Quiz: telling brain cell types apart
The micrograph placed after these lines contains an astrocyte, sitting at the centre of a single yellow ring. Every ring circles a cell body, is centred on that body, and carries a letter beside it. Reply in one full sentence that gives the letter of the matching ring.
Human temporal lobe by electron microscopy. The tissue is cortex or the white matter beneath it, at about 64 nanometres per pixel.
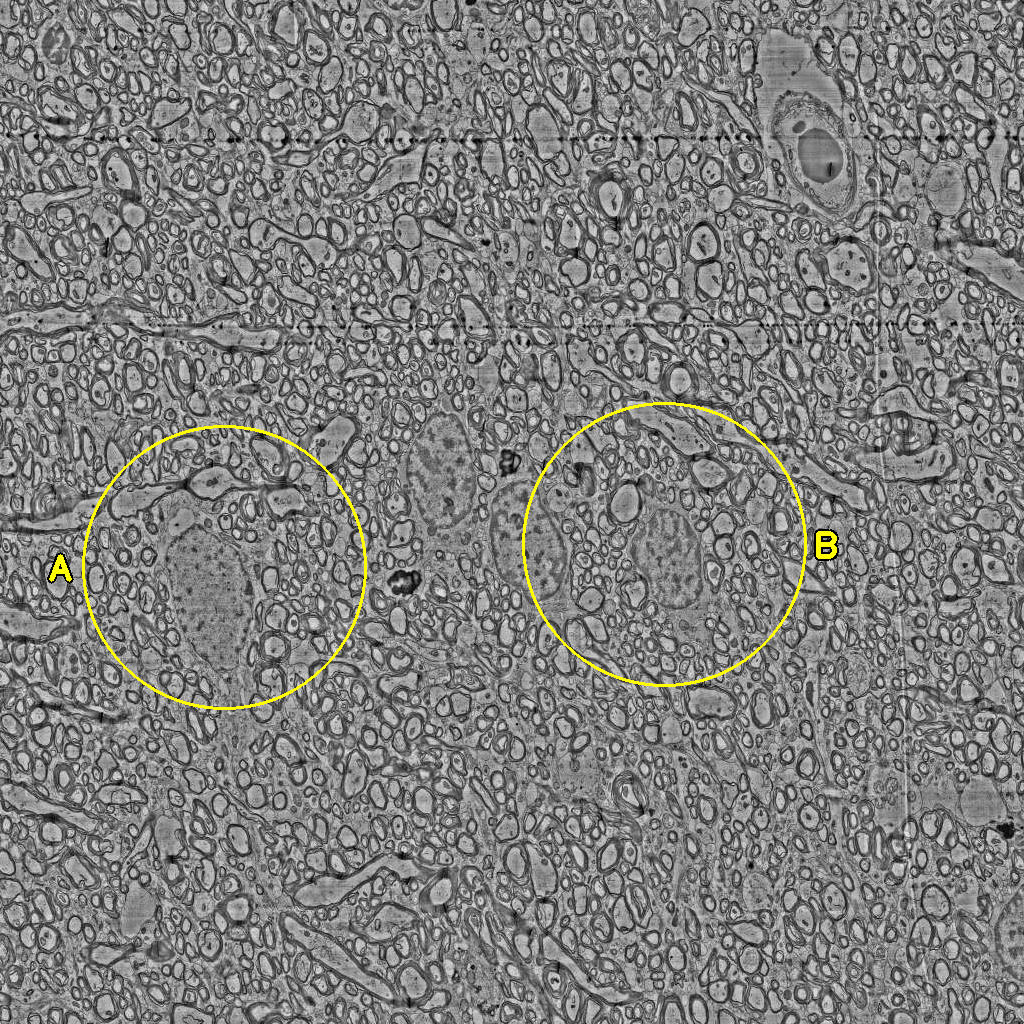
The cell asked for lies at the centre of ring A in the picture.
